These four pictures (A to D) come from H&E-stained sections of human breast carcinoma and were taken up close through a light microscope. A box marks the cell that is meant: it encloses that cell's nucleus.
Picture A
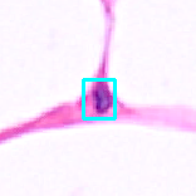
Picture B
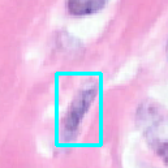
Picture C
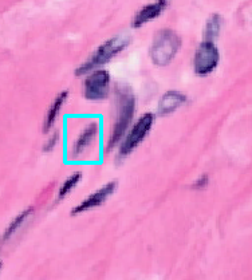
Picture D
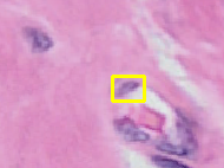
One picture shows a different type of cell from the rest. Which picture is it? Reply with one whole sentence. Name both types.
Unlike the rest, which show endothelial cells, picture B shows a fibroblast.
